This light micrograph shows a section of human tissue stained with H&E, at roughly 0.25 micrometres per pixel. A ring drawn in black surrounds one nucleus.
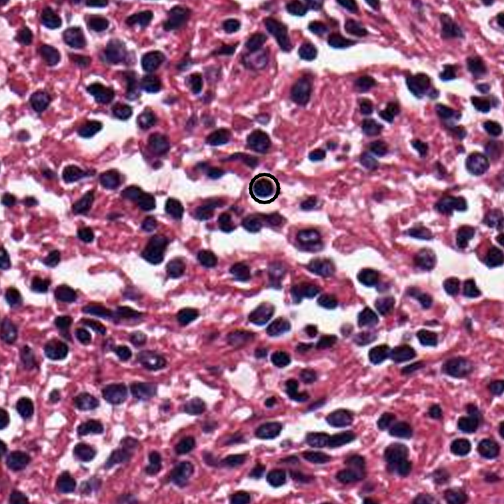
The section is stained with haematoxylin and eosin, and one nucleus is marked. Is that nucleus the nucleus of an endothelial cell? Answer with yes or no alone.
no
